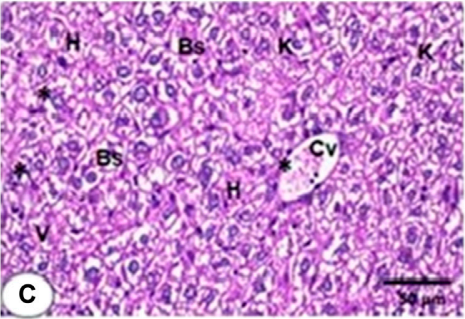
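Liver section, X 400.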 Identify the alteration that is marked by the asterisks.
Cellular infiltrations.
